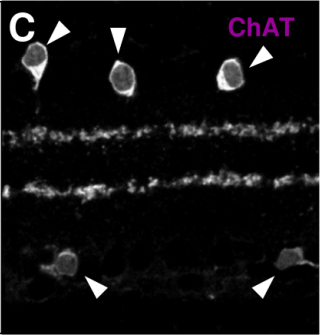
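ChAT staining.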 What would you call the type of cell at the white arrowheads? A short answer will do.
starburst amacrine cells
